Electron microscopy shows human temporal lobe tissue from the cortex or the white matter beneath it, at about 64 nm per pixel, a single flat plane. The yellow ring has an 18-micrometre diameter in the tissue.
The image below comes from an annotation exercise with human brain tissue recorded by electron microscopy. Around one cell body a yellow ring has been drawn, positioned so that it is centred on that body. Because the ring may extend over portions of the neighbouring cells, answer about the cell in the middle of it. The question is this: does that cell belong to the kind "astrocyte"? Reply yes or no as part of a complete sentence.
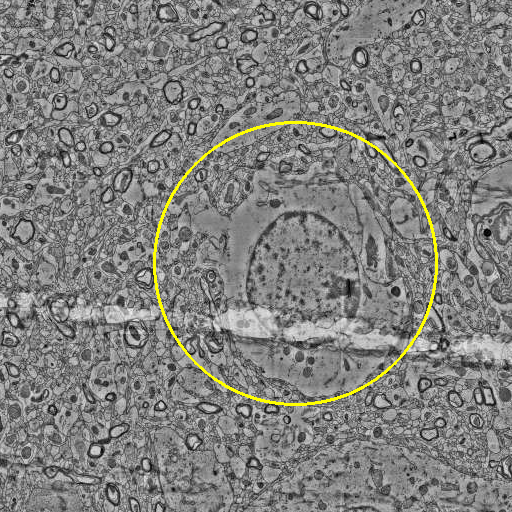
Yes, in the image the cell in the middle of the ring is of the kind asked about.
